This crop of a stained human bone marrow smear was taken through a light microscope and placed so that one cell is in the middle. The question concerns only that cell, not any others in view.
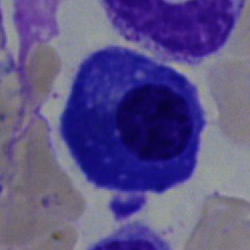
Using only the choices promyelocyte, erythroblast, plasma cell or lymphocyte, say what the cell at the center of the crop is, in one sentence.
The cell centered in this field of view is a plasma cell.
